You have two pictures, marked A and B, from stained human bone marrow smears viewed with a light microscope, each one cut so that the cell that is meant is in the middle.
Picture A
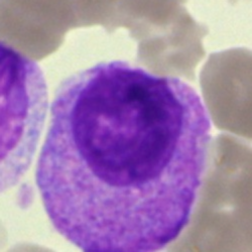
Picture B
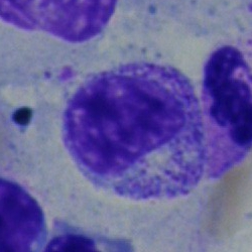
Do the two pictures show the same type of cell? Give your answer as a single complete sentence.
Yes, they are the same type: both are myelocytes.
